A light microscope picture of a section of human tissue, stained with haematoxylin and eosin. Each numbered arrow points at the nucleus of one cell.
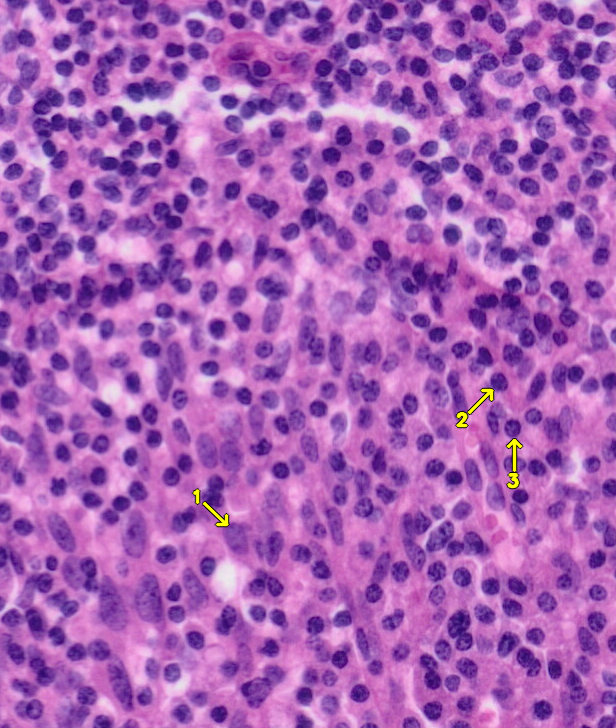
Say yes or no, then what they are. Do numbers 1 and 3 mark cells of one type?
No, the cell bearing number 1 is a squamous epithelial cell, while the one bearing number 3 is a plasma cell.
